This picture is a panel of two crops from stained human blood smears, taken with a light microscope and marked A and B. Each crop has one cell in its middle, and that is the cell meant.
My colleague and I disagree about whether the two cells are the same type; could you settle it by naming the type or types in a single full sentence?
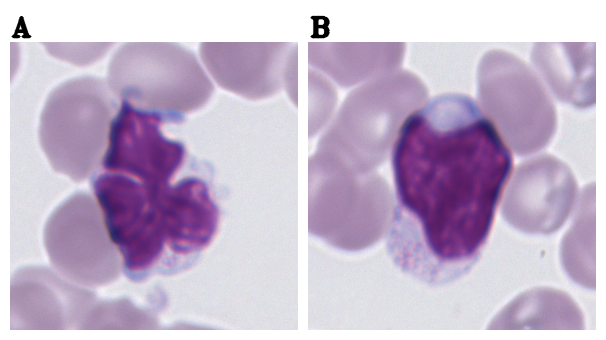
Yes, large granular lymphocytes are seen in both crops.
